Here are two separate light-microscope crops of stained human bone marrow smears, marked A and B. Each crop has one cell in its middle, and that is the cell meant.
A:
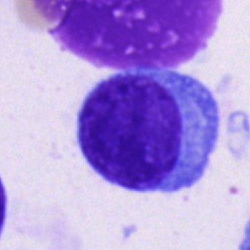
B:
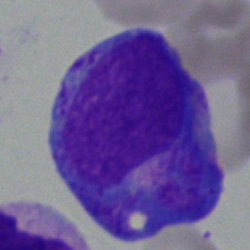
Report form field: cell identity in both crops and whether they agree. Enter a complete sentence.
No, a plasma cell is what occupies crop A, and a promyelocyte is what occupies crop B.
